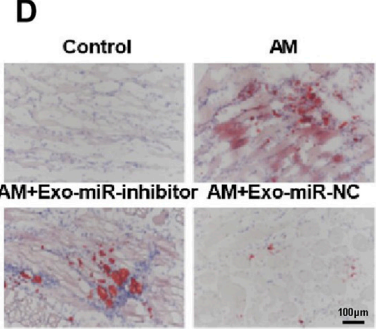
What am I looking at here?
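The muscle fibres appear pale grey with faint outlines, and scattered small blue nuclei lie between them. In the upper left field there are no red deposits. In the upper right field numerous red-stained droplets and irregular clusters lie among the fibres. The lower left field shows several large red clusters with a bluish background of nuclei around them, while the lower right field shows only a few small red dots in pale tissue.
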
